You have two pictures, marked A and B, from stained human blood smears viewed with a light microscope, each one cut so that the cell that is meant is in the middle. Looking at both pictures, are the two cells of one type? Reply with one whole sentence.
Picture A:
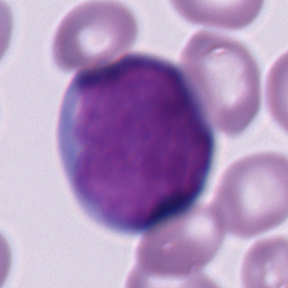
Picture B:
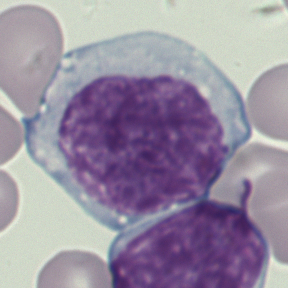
Yes, both are myeloblasts.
